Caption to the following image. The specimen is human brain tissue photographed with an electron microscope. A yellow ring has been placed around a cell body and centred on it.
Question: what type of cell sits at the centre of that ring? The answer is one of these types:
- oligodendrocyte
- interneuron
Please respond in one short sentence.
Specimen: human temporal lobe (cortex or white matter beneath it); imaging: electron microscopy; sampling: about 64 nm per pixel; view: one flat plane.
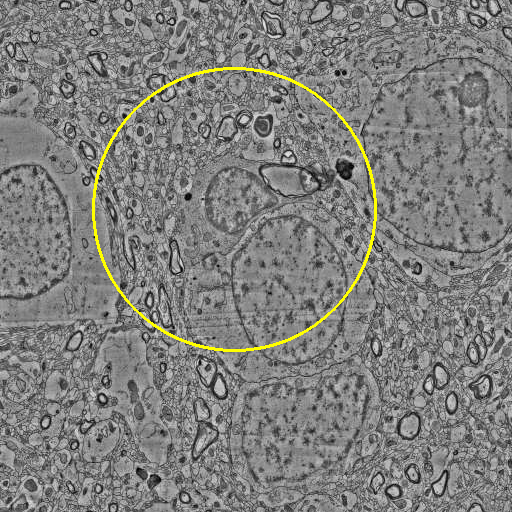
The ring surrounds the cell body of an oligodendrocyte.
